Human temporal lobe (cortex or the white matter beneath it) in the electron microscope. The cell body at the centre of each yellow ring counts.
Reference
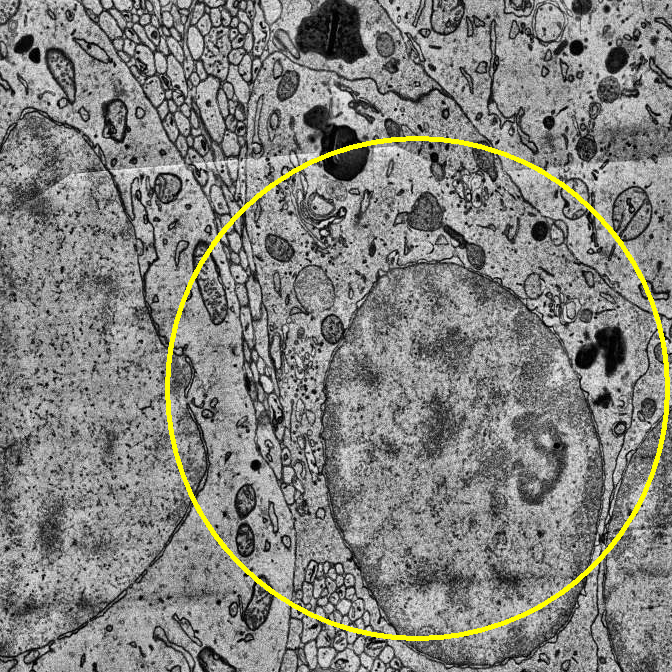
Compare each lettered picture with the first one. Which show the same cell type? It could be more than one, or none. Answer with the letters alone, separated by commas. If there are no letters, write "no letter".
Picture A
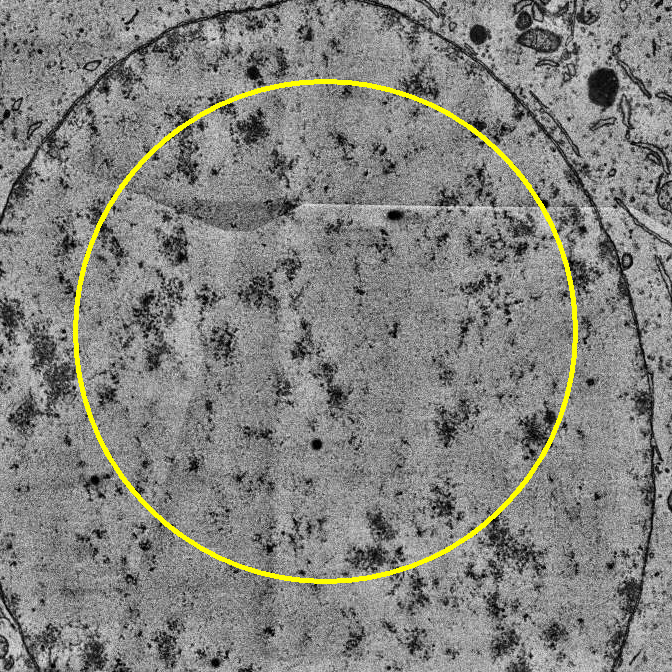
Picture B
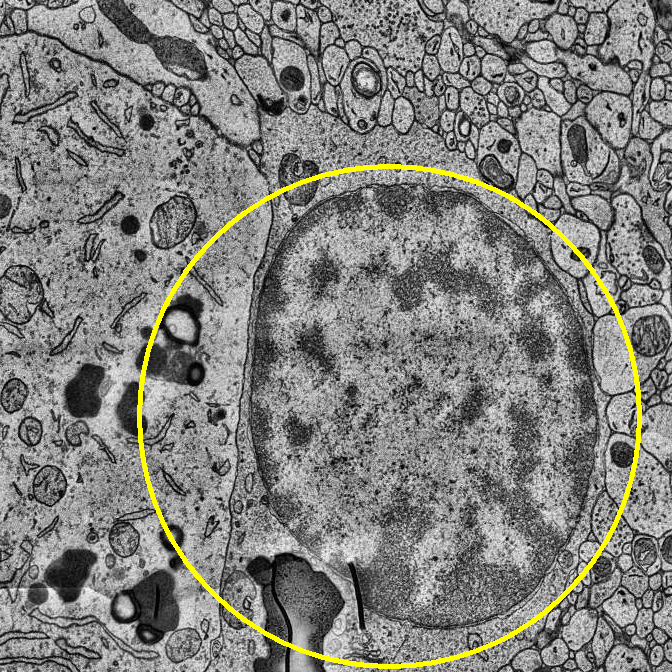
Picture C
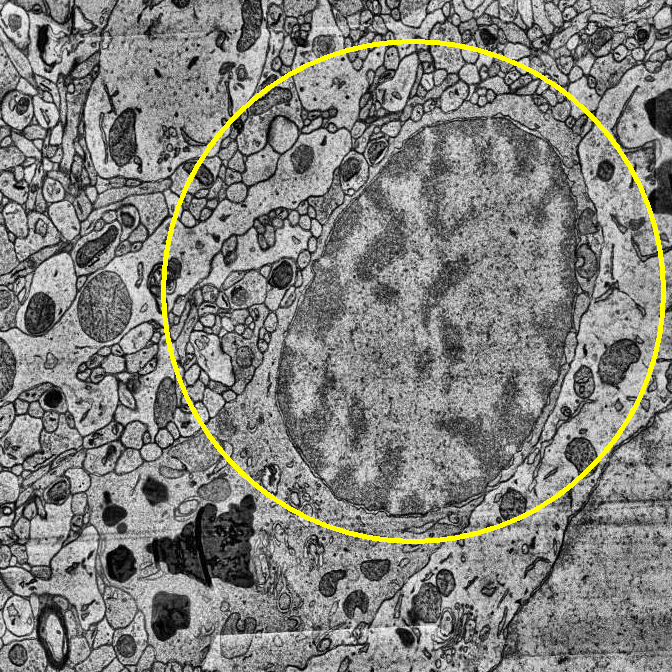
B, C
